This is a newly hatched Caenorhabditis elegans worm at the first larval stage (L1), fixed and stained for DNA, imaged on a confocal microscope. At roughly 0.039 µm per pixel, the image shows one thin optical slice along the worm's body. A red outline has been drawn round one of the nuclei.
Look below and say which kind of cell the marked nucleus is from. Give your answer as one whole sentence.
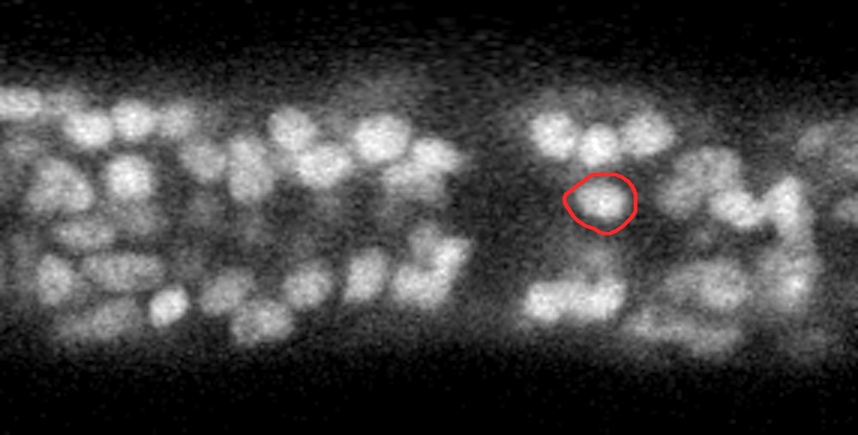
The nucleus comes from a neuron.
